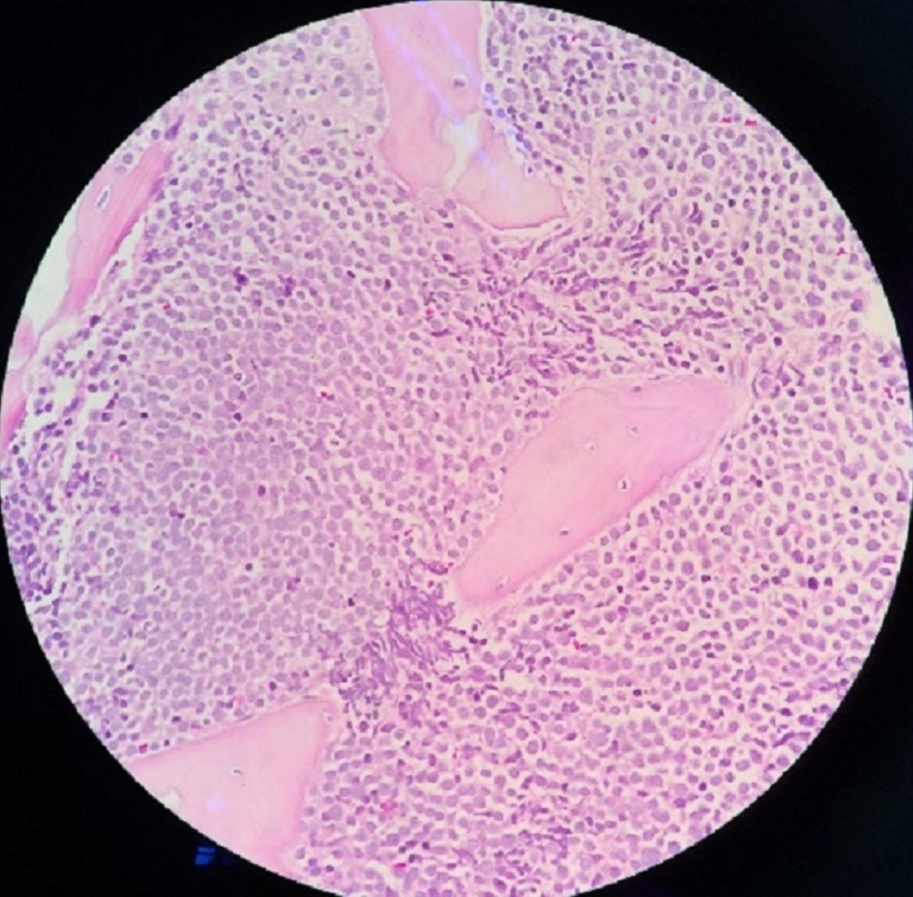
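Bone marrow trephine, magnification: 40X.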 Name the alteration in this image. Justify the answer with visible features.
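High nucleocytoplasmic ratio. The cytoplasm around each nucleus is a thin pale rim.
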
